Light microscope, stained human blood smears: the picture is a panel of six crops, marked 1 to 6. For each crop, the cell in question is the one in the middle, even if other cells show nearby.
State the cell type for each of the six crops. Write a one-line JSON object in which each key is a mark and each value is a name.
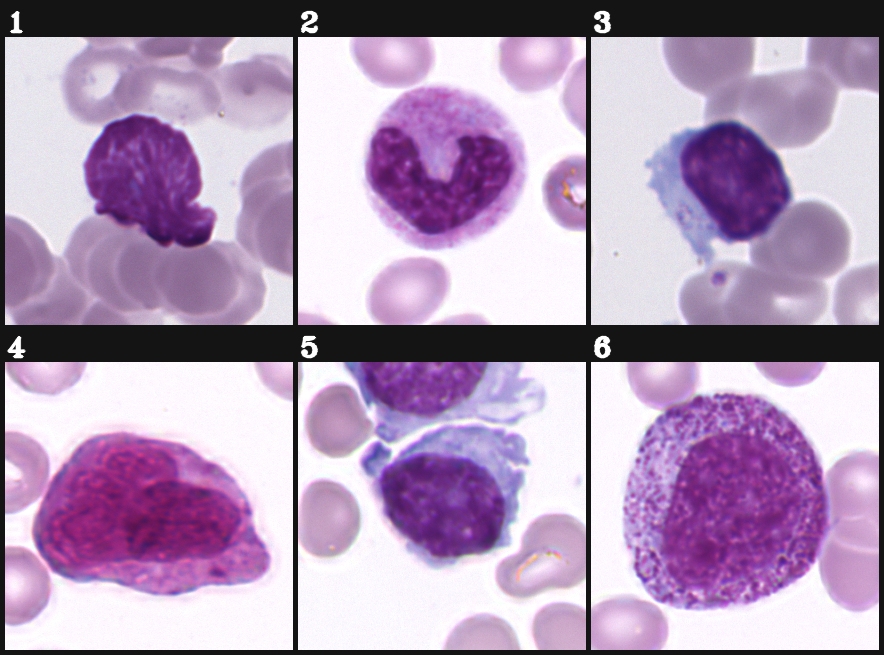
{"1": "smudge cell", "2": "band neutrophil", "3": "large granular lymphocyte", "4": "atypical promyelocyte", "5": "plasma cell", "6": "promyelocyte"}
